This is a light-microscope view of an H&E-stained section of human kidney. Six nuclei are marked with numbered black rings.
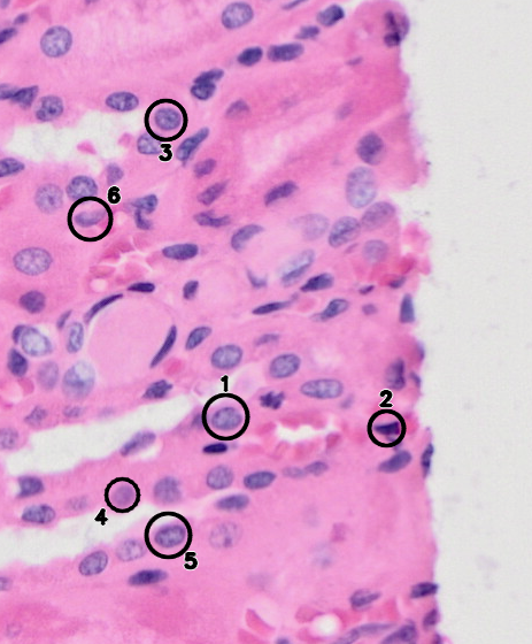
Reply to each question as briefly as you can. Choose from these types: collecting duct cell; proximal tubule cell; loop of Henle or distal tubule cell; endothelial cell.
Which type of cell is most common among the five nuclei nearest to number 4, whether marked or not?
loop of Henle or distal tubule cell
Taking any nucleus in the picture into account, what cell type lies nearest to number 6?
loop of Henle or distal tubule cell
